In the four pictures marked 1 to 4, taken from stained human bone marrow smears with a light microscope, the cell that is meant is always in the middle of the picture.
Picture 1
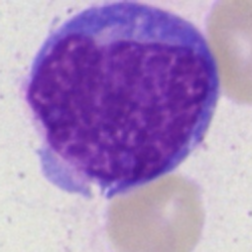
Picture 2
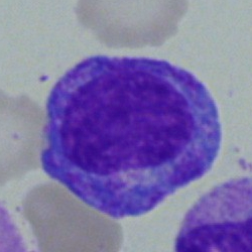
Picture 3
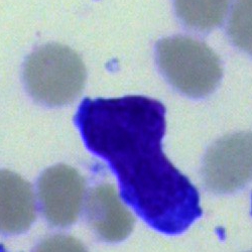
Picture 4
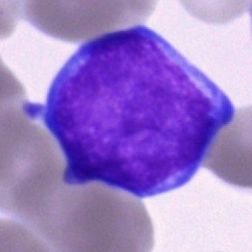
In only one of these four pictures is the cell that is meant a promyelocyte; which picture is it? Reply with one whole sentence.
It is picture 2 that shows the promyelocyte.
